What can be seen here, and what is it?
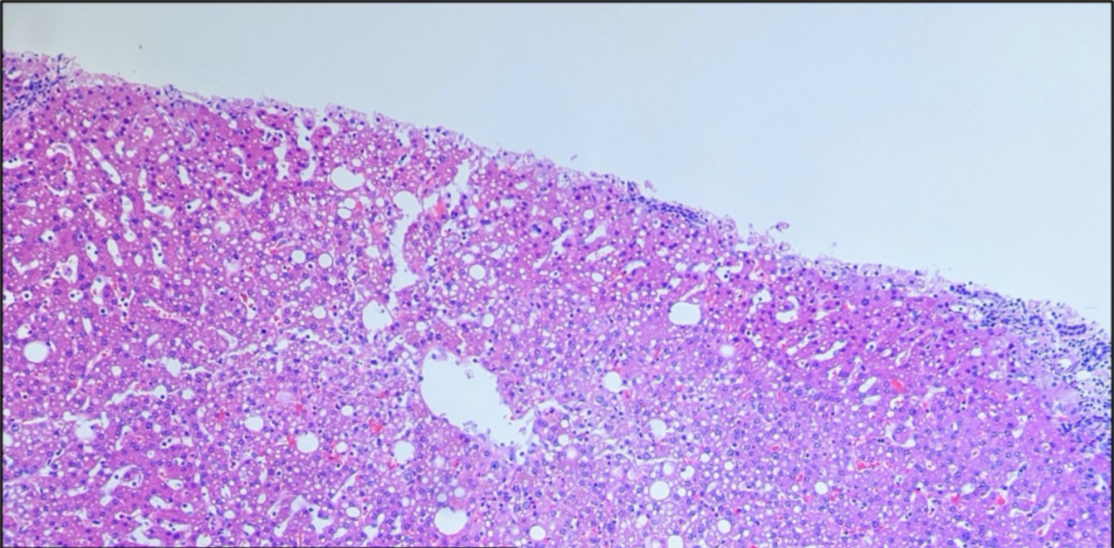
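This section of liver parenchyma shows plates of hepatocytes with pink cytoplasm and round, dark purple nuclei. Many hepatocytes hold clear, round fat vacuoles. Some vacuoles are large and fill most of the cell, while others are small. The sinusoids between the hepatocyte plates appear as widened, irregular clear spaces, and a few contain red blood cells. A larger, irregular vessel lumen lies near the centre. Small clusters of dark, crowded nuclei lie along the edges of the tissue. There are no fibrous bands dividing the parenchyma.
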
